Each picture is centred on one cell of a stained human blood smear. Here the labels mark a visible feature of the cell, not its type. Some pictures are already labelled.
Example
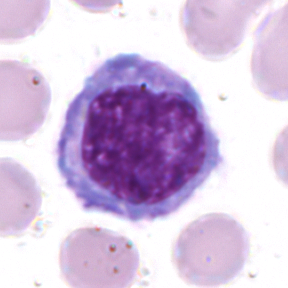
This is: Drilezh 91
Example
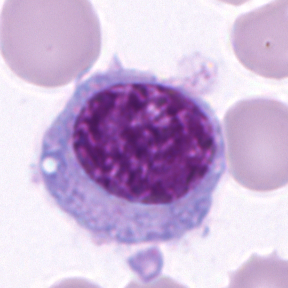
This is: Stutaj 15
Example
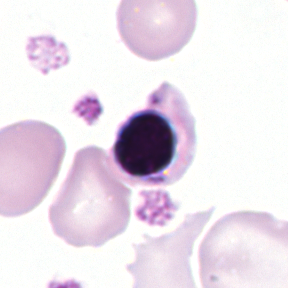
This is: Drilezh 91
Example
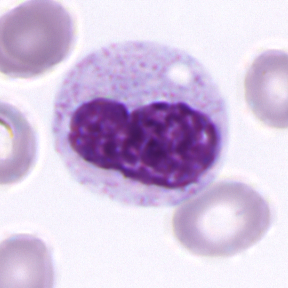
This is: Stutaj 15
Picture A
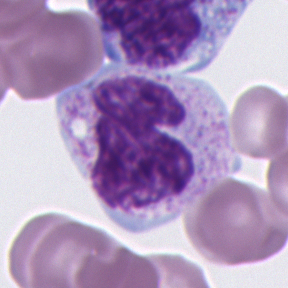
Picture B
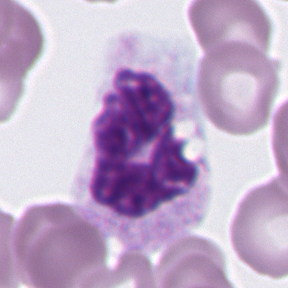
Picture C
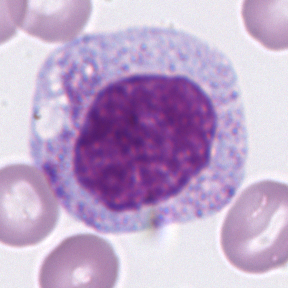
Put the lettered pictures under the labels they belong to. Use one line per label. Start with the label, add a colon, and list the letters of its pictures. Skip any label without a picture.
Stutaj 15: A, B, C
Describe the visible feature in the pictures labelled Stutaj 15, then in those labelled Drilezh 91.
Seen in Stutaj 15: vacuoles present; seen in Drilezh 91: no vacuoles.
